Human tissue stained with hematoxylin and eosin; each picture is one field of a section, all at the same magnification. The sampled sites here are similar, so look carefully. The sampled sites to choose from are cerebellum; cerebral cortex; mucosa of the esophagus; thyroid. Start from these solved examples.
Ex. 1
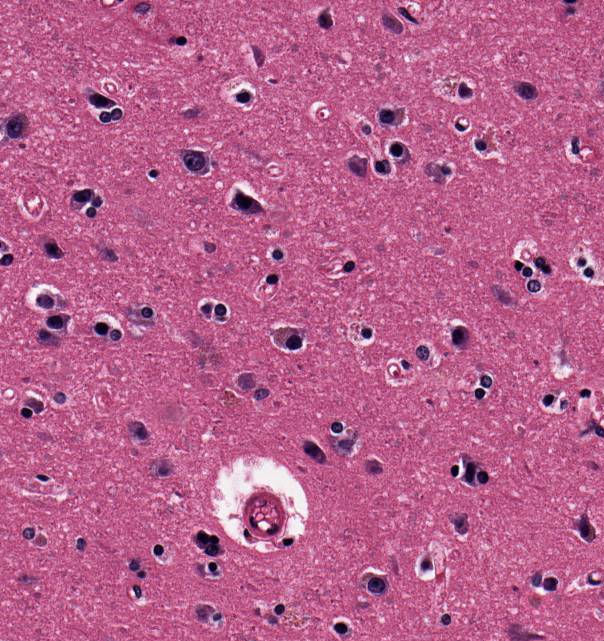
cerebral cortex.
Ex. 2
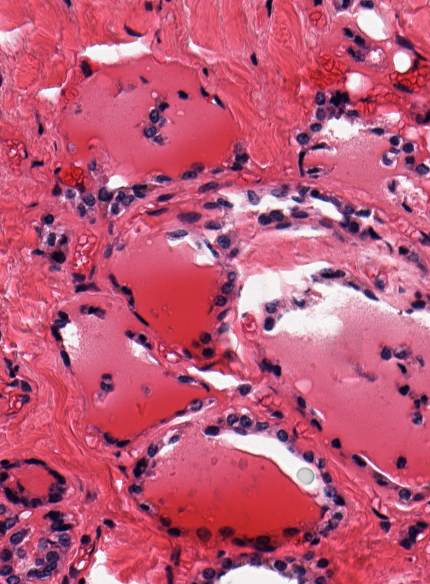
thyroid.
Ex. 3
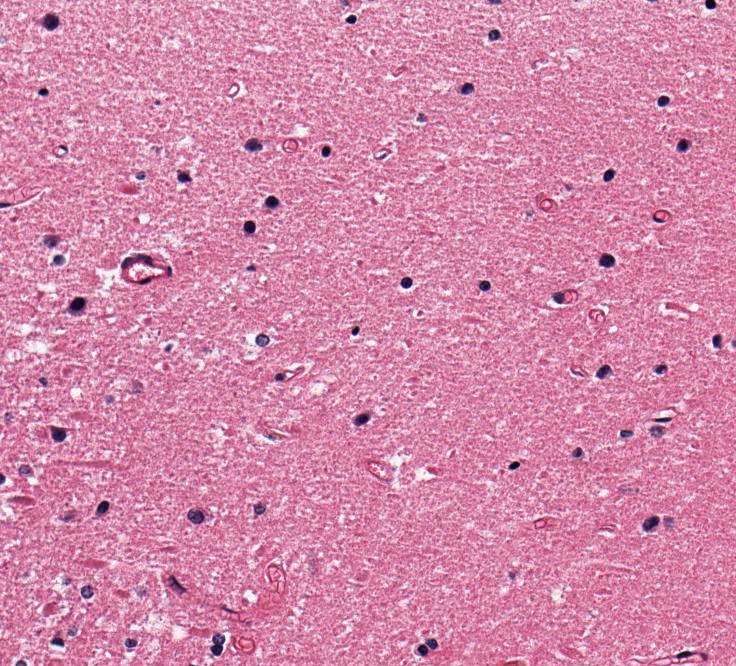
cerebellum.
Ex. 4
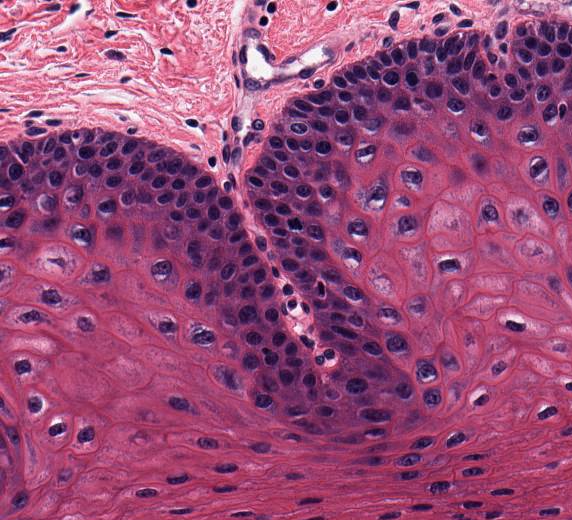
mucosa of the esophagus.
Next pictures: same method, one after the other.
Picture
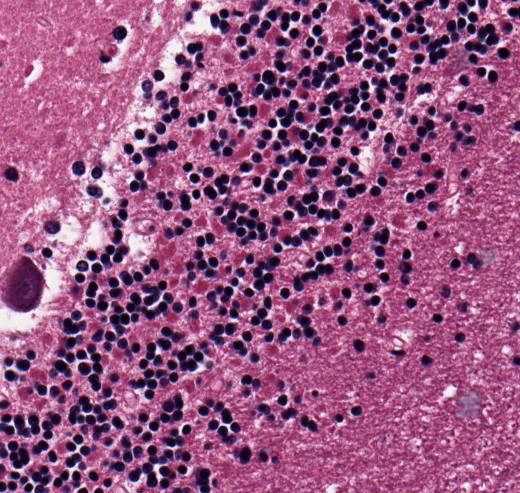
cerebellum.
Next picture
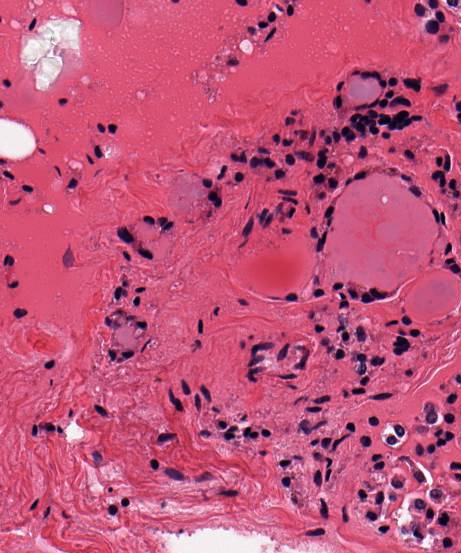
thyroid.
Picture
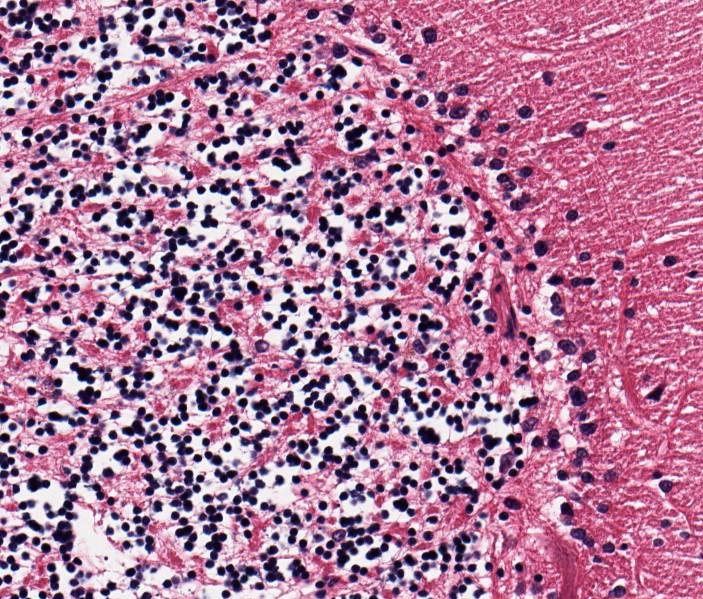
cerebellum.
